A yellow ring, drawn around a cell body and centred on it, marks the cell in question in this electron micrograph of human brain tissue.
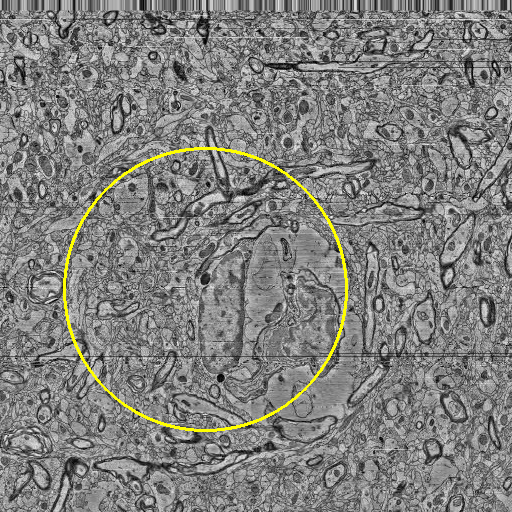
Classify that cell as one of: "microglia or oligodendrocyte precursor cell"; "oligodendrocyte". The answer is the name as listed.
microglia or oligodendrocyte precursor cell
